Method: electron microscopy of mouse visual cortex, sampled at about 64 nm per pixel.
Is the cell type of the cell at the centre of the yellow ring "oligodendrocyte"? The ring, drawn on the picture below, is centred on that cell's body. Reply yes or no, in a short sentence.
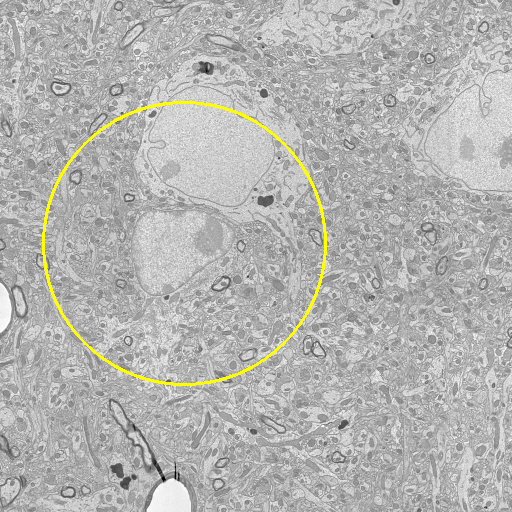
No, its cell type is another.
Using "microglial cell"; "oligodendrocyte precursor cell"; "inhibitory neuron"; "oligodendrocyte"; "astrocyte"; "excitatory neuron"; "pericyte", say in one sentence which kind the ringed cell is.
The ringed cell in this picture is, instead, an astrocyte.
